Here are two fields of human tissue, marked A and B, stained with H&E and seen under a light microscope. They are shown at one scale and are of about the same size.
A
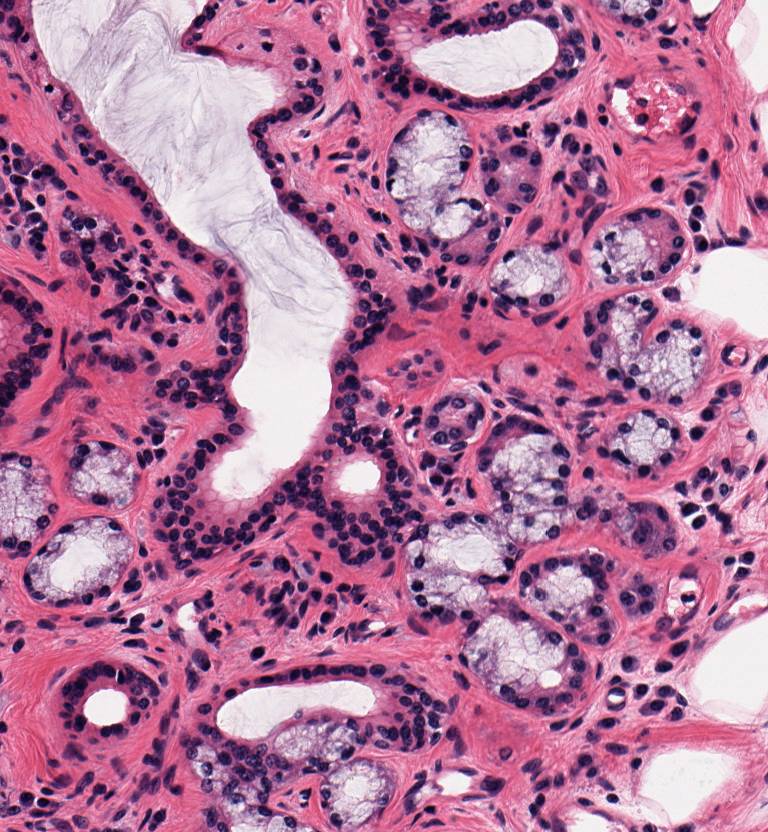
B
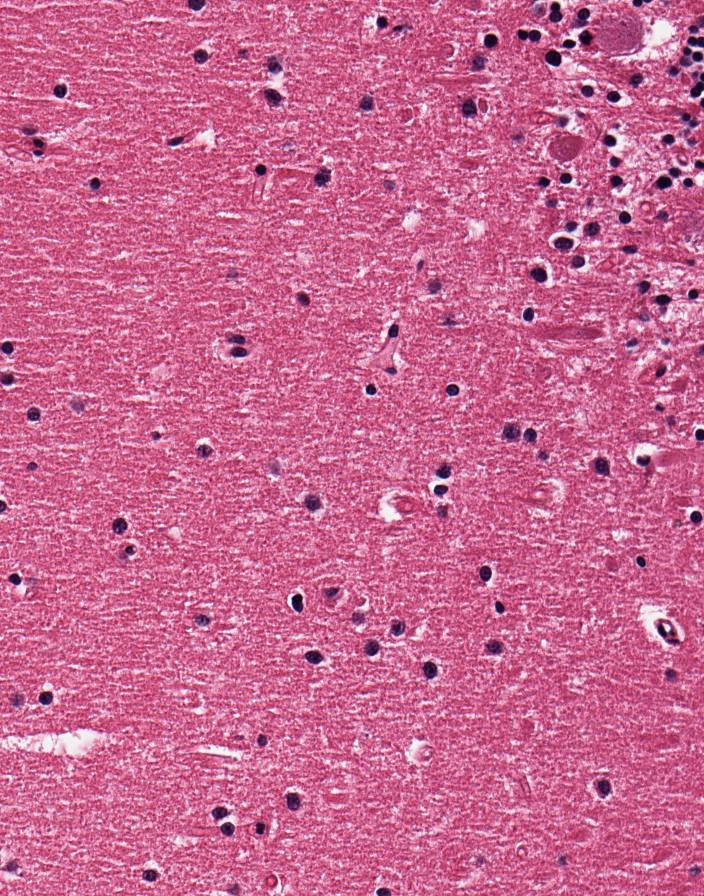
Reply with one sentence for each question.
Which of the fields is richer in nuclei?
Field A holds more nuclei than field B.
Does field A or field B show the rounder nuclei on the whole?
Rounder nuclei lie in field B.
